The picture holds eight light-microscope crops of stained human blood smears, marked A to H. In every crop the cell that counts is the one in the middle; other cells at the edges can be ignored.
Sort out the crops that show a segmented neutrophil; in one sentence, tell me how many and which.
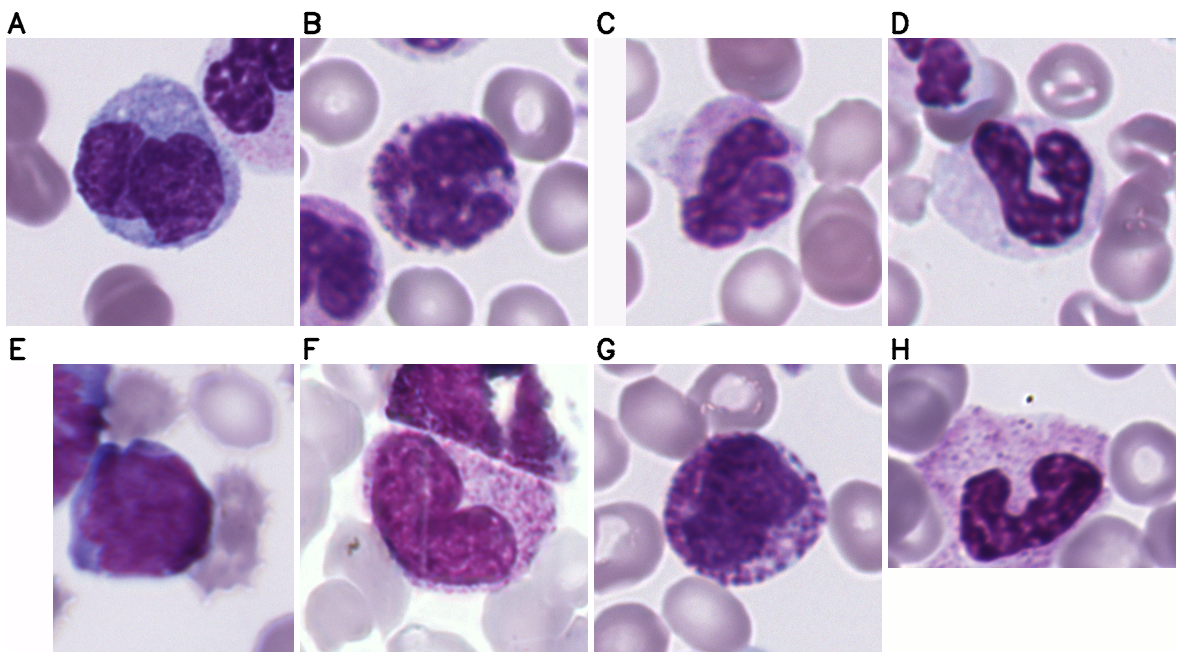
Under the heading of segmented neutrophils fall two crops, C and H.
